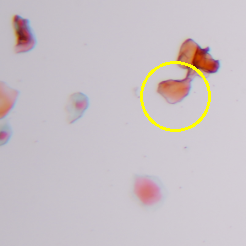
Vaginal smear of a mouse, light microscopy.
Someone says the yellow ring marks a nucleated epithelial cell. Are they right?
They are not: the ring marks a cornified epithelial cell.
